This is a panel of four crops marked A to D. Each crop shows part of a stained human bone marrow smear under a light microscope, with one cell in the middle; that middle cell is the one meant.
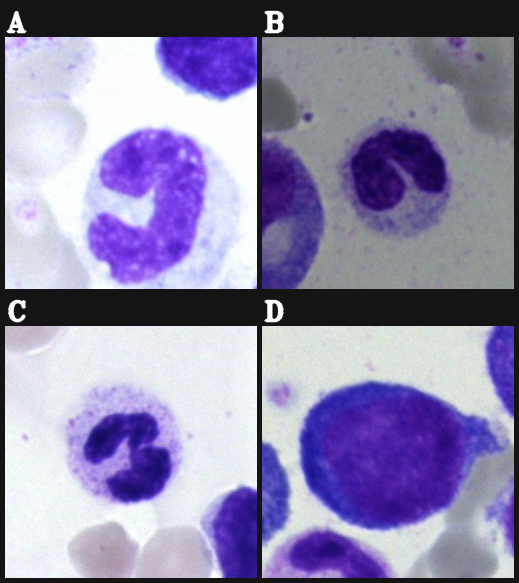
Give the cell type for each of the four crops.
A: band neutrophil
B: segmented neutrophil
C: segmented neutrophil
D: proerythroblast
